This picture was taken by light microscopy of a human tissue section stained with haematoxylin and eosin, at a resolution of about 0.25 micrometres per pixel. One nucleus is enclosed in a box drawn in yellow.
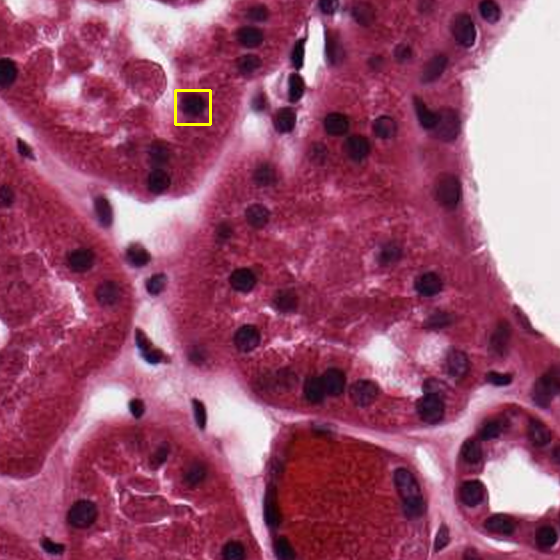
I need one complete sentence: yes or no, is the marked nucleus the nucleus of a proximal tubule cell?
Yes, the marked nucleus sits in a proximal tubule cell.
